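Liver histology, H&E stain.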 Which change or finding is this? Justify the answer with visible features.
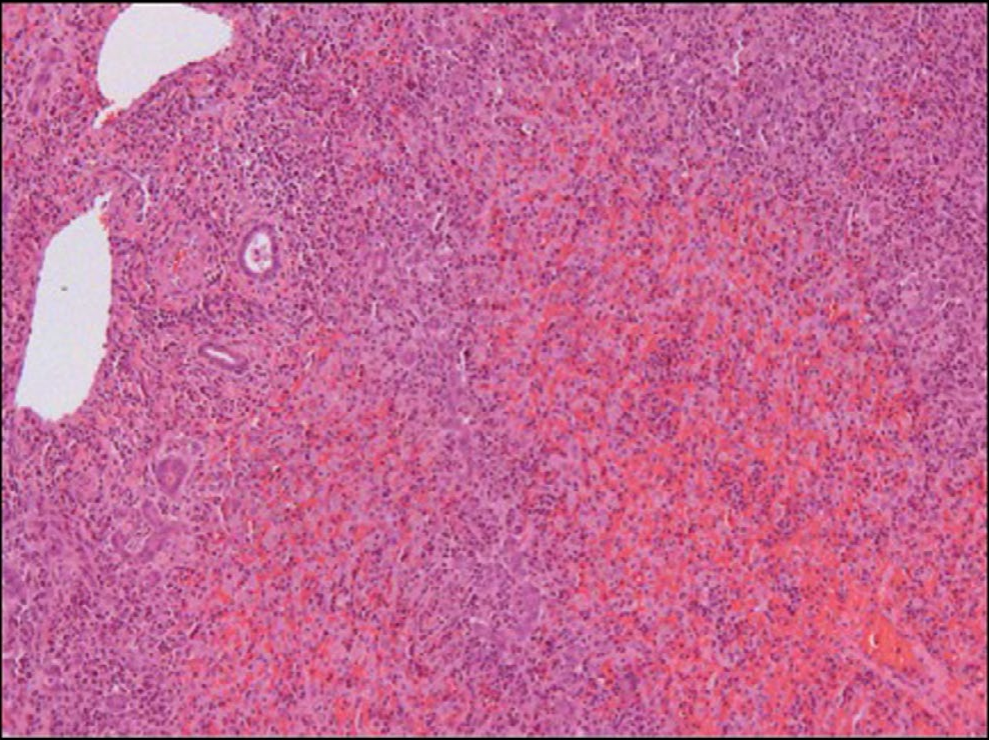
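Across most of the field the orderly plates of liver cells are lost. Large areas are filled with bright red blood and scattered nucleated cells. A portal tract with ducts and open vessels at the upper left stands within the disrupted parenchyma. The answer: extensive necrosis.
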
